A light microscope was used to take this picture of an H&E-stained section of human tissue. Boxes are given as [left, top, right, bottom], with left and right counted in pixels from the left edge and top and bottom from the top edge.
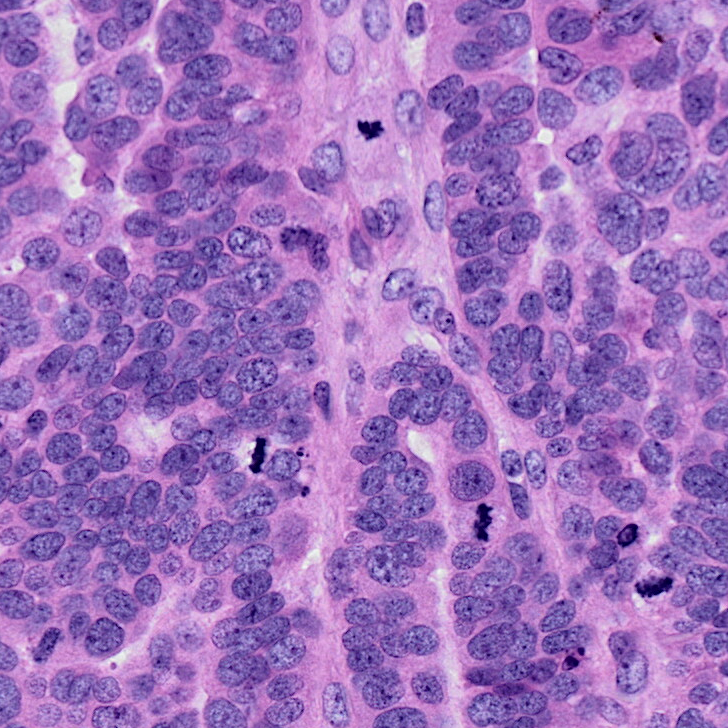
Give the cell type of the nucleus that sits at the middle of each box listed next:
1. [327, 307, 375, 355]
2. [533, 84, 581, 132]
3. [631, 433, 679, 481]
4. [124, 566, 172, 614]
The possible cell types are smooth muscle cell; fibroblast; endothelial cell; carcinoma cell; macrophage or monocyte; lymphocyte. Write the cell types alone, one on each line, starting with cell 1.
fibroblast
carcinoma cell
carcinoma cell
carcinoma cell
